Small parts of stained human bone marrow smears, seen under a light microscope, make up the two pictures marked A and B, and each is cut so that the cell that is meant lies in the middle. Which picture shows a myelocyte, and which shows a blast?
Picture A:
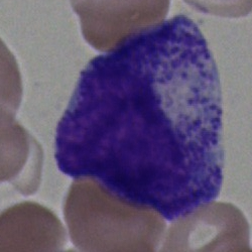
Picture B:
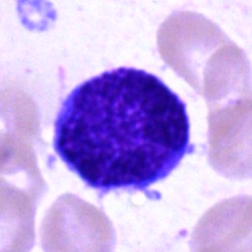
A: myelocyte
B: blast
